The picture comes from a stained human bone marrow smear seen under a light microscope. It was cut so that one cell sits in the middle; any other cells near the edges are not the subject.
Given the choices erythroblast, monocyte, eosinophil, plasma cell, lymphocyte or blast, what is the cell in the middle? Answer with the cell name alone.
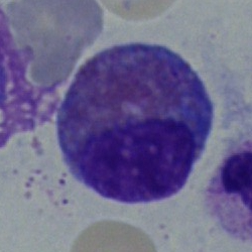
eosinophil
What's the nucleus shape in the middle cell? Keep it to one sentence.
Worth pointing out that its nucleus is one compact mass, round, oval or reniform.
